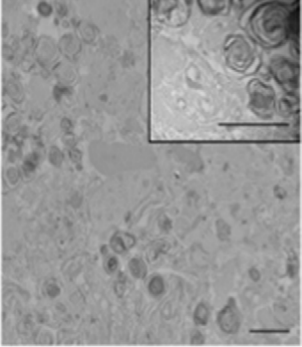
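The bodies vary in size and appear as dark-rimmed circular profiles, some isolated and some in small groups. At higher magnification in the inset, their walls are made of several concentric membrane layers wound around one another like the layers of an onion.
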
